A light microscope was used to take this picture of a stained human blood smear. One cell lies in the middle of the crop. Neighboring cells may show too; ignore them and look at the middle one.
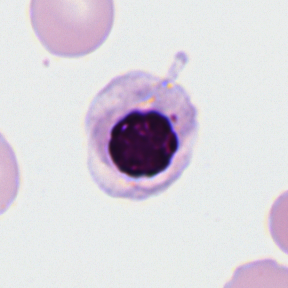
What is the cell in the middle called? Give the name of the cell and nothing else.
normoblast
